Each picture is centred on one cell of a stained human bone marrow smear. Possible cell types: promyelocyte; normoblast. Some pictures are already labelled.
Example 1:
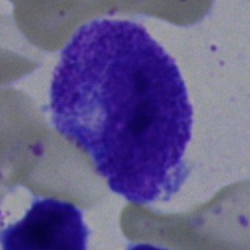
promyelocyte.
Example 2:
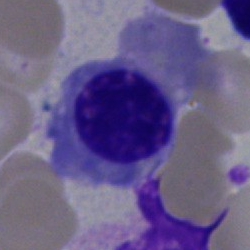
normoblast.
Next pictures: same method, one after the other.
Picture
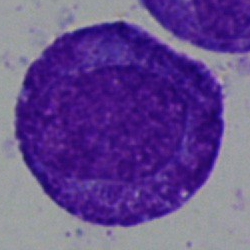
promyelocyte.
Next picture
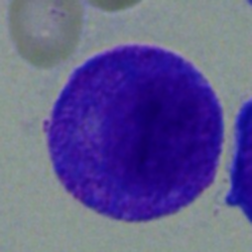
promyelocyte.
